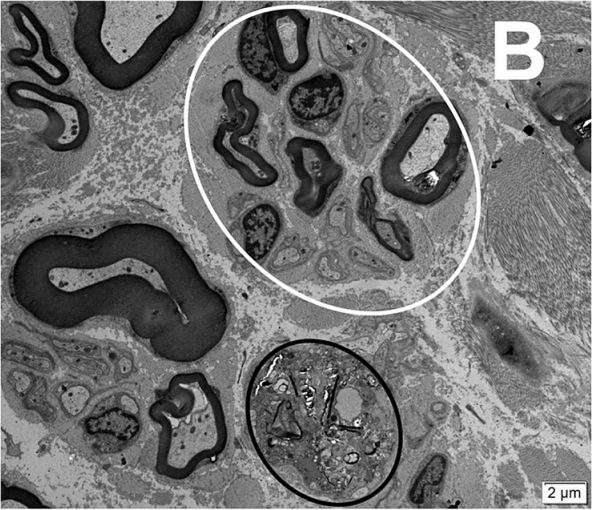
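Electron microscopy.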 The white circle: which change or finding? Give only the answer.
Nerve regeneration.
